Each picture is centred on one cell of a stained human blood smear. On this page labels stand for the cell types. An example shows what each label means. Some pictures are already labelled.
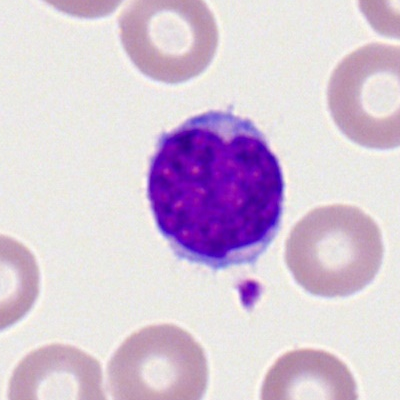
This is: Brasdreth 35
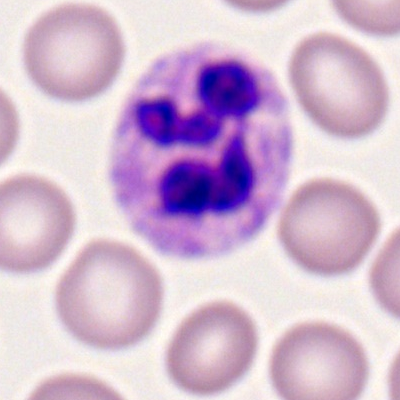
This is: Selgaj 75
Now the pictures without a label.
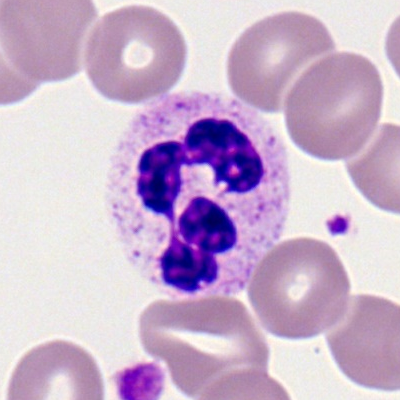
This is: Selgaj 75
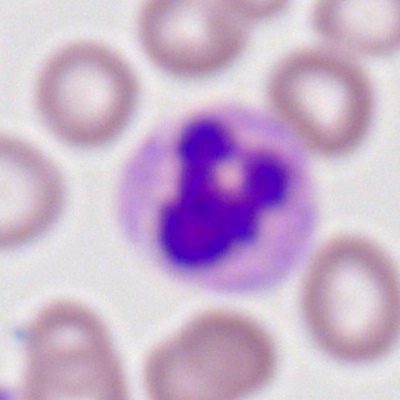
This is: Selgaj 75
